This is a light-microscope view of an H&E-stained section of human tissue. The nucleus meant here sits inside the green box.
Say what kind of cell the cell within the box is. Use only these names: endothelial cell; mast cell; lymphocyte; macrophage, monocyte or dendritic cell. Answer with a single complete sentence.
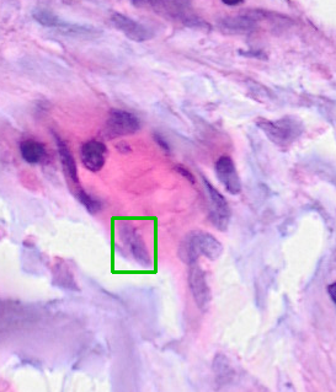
Within this tissue, the cell within the box is an endothelial cell.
